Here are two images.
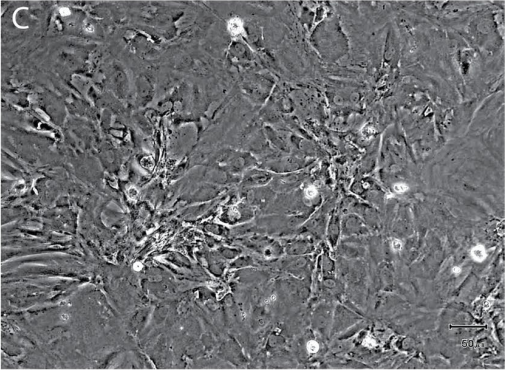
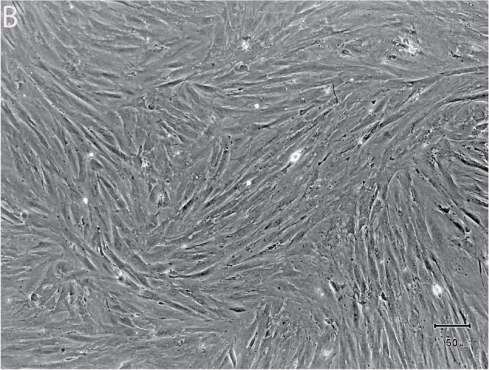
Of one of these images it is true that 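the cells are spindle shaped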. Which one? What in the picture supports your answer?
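First image: broad, flattened cells of irregular angular outline form a sheet. Second image: long, narrow cells with tapering ends lie in parallel streams.
The second image.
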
